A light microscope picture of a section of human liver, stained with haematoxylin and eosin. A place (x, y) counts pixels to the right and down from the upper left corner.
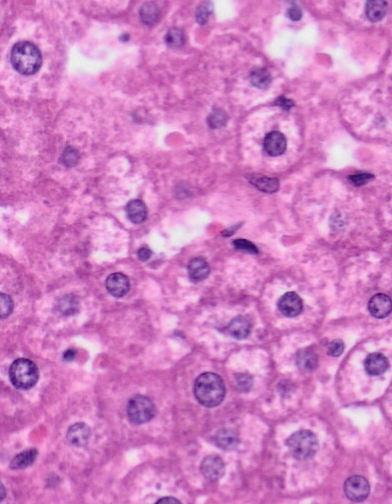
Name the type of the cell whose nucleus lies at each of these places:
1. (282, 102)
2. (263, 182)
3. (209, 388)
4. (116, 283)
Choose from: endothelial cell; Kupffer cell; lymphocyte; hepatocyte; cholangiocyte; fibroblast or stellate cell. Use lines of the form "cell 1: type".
cell 1: fibroblast or stellate cell
cell 2: Kupffer cell
cell 3: hepatocyte
cell 4: hepatocyte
